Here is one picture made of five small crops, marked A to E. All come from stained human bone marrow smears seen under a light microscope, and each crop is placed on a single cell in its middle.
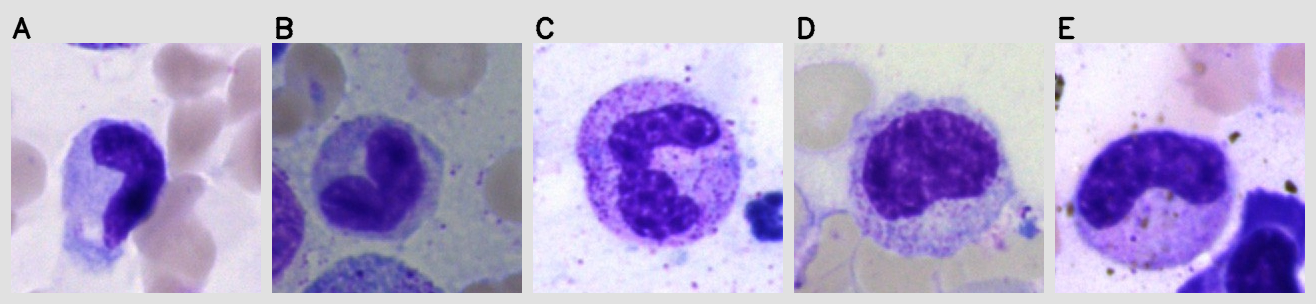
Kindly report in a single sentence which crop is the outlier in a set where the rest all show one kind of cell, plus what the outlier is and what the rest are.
Only one crop differs, namely crop D, which is a metamyelocyte; the others show band neutrophils.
